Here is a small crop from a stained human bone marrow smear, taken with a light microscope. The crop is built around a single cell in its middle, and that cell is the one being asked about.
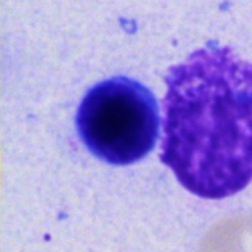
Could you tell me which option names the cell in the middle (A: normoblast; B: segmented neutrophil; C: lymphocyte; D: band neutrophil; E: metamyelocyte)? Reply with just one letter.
C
